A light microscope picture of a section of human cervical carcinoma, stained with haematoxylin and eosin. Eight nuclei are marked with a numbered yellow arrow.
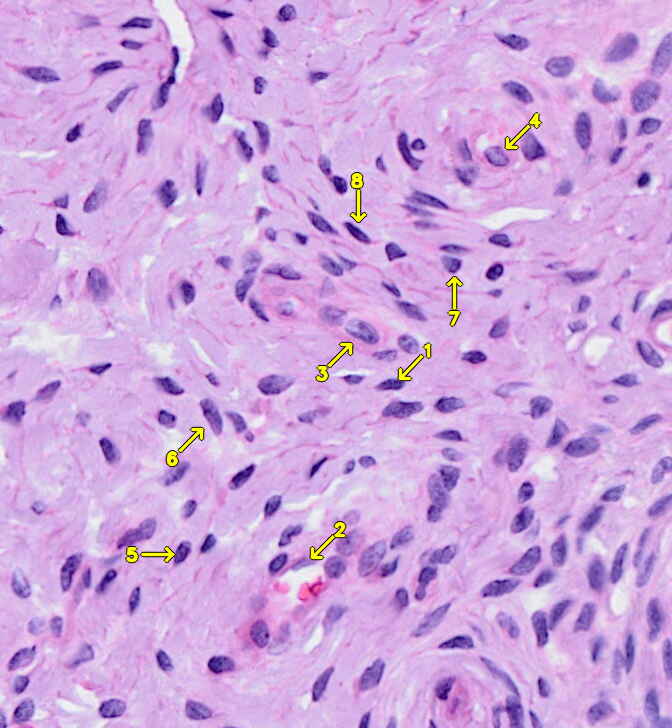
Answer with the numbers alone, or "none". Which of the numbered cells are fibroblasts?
1, 5, 6, 7, 8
